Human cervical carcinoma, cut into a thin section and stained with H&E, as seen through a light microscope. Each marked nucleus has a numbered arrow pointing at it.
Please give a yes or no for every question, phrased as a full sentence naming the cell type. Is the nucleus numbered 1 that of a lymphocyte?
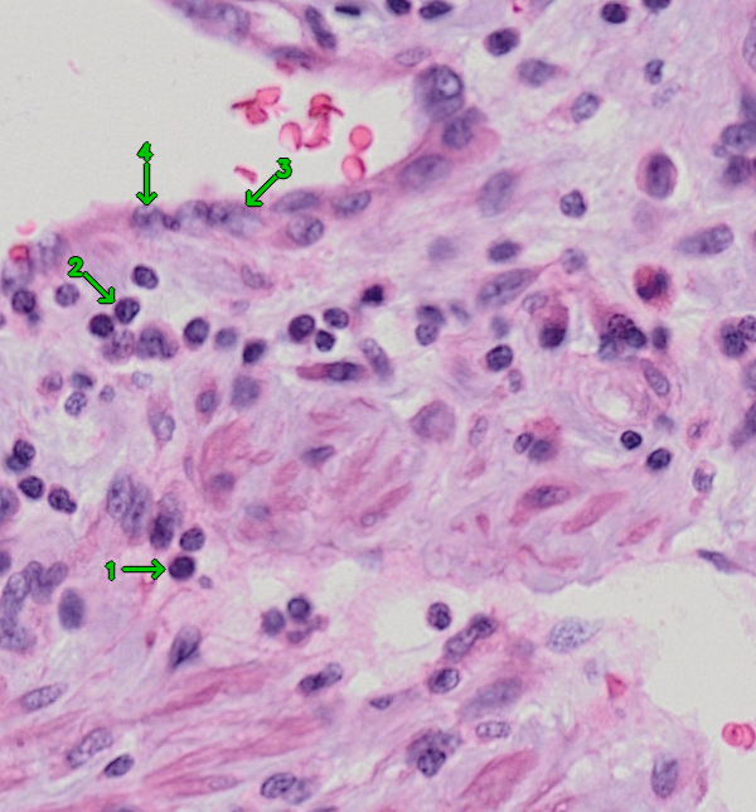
Yes, the cell at marker 1 is a lymphocyte.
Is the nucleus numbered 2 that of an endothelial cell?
No, what number 2 shows is a lymphocyte, not an endothelial cell.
